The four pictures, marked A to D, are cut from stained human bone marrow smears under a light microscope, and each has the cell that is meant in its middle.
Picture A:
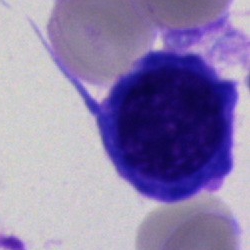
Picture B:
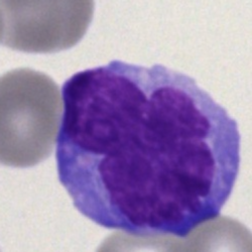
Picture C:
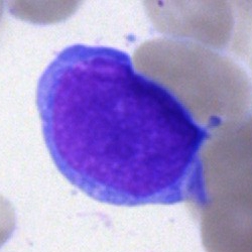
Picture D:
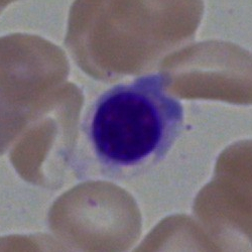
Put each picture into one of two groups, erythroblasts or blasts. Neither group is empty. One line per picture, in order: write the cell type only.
erythroblast
blast
blast
erythroblast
